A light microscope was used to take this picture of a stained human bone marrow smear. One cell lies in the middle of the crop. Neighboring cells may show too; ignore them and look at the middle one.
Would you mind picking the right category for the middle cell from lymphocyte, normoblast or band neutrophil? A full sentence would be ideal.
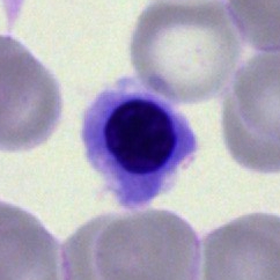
Framed in the middle of the crop is a normoblast.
